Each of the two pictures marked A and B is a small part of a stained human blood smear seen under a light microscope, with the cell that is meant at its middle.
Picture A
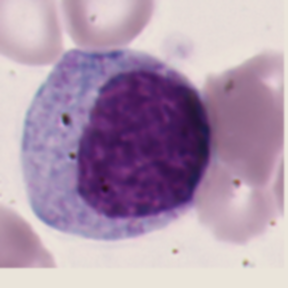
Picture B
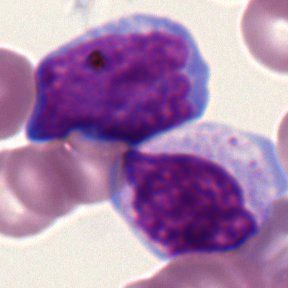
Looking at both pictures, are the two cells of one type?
no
